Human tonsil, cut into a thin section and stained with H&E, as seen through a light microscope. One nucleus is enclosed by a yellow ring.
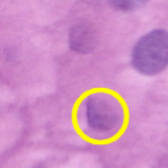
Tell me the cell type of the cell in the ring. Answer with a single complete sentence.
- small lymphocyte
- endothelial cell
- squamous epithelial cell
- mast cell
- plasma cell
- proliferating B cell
Just put down that the cell in the ring is a squamous epithelial cell.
